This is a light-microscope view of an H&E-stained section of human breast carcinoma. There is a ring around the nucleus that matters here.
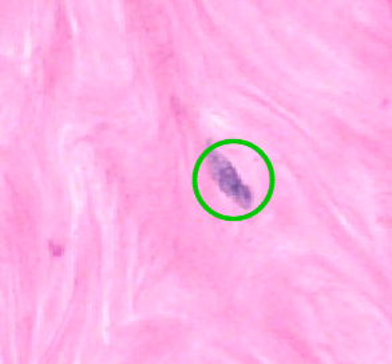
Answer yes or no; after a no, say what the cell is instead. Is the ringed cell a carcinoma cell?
No, it is a fibroblast.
